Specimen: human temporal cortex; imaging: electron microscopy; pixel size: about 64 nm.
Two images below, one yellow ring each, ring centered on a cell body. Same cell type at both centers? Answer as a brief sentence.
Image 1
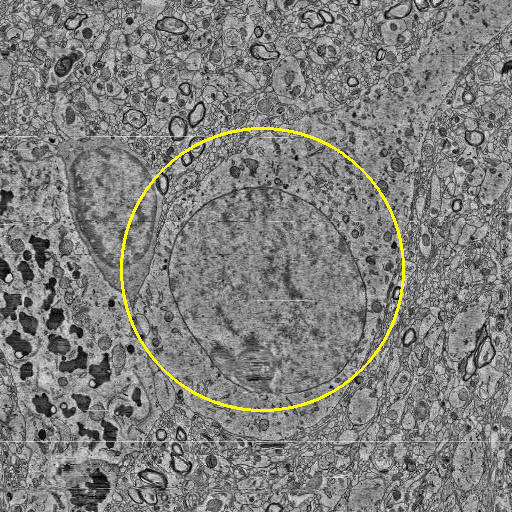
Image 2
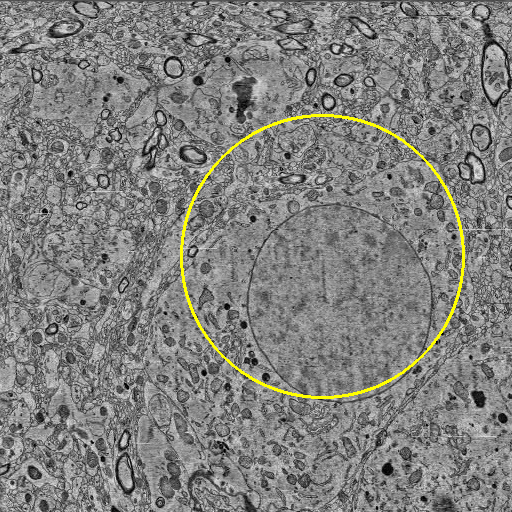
No, the cells are of two separate types.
